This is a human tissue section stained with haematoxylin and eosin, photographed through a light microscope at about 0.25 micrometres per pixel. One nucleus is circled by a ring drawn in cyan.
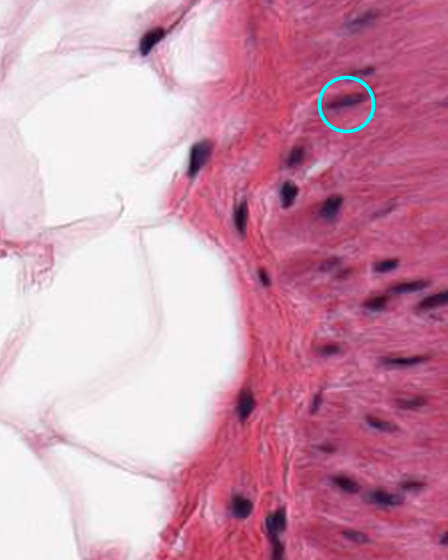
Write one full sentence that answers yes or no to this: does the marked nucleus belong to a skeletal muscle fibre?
No, the marked nucleus is not enclosed by a skeletal muscle fibre.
